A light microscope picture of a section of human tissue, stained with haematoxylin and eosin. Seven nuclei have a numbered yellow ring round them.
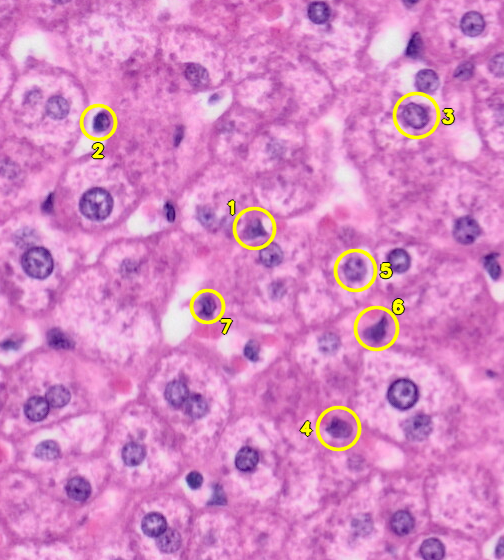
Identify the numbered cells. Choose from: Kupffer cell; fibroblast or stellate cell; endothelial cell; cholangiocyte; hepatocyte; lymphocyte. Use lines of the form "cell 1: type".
cell 1: endothelial cell
cell 2: lymphocyte
cell 3: hepatocyte
cell 4: endothelial cell
cell 5: hepatocyte
cell 6: endothelial cell
cell 7: Kupffer cell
